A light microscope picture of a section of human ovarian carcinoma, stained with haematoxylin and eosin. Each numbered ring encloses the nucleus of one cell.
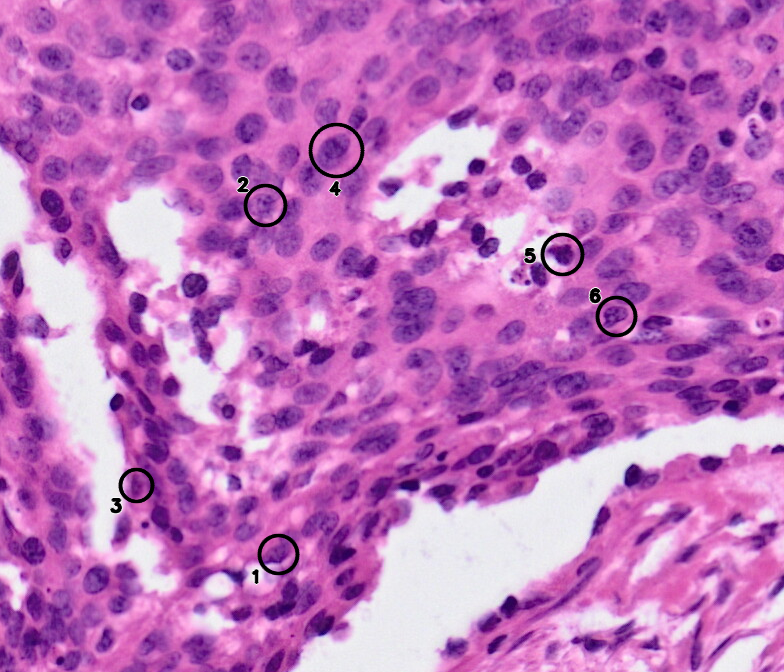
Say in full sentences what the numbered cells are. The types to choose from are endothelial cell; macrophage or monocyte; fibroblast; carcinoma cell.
Cells 1, 3, 4 and 5 are carcinoma cells. Cells 2 and 6 are macrophages or monocytes.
